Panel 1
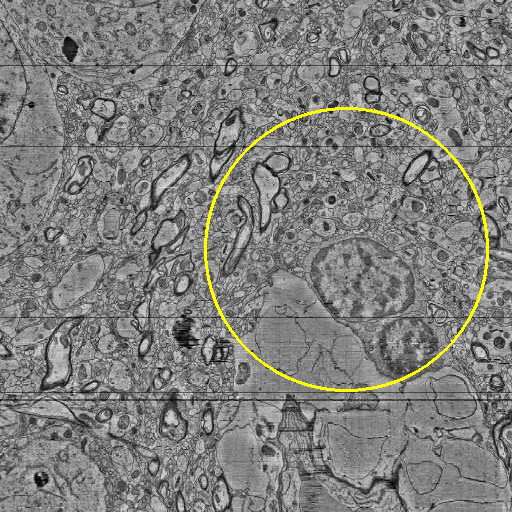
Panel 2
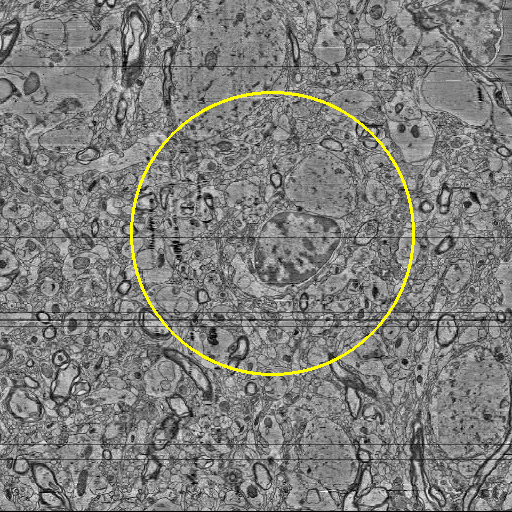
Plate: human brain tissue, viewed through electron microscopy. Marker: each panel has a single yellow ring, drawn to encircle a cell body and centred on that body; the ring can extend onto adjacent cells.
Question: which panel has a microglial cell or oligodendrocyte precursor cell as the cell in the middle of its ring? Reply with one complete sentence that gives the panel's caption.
Panel 2 is where the requested cell sits at the centre of the ring.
